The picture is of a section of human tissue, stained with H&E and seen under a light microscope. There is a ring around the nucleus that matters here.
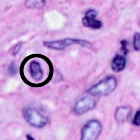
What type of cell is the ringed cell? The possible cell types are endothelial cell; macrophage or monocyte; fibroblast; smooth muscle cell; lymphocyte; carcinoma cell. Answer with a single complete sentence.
Within the stained tissue, the ringed cell is a lymphocyte.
